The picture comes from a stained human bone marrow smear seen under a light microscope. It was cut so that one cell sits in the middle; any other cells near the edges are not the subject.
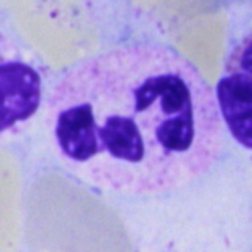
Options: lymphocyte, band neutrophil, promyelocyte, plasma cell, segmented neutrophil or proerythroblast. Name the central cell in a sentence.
Centred in the crop is a segmented neutrophil.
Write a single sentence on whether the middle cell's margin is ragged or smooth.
There are no projections here; the outline is simply smooth.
